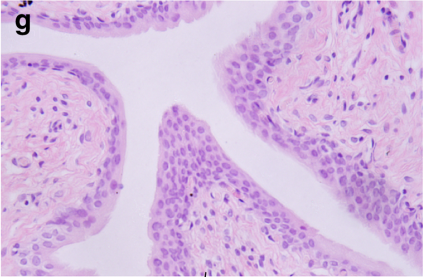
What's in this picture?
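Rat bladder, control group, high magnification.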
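The epithelium is several cells thick and continuous, made of closely packed cells with round to oval purple nuclei and pale pink cytoplasm, the cells toward the surface a little flatter. Beneath it lies a loose pink connective tissue core with scattered elongated spindle-shaped nuclei. The folds project into a clear, empty lumen, and the surface of the lining looks smooth and intact, without gaps or detached cells.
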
